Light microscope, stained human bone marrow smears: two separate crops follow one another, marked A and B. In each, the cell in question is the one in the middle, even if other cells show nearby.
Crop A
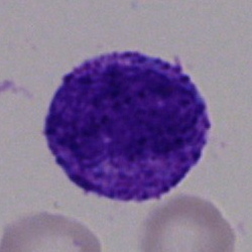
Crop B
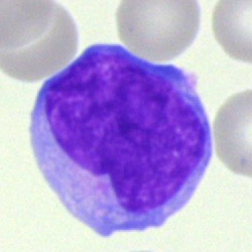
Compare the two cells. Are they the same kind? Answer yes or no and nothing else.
no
